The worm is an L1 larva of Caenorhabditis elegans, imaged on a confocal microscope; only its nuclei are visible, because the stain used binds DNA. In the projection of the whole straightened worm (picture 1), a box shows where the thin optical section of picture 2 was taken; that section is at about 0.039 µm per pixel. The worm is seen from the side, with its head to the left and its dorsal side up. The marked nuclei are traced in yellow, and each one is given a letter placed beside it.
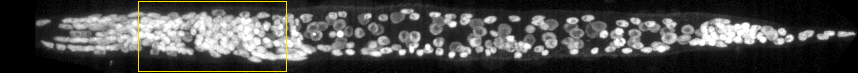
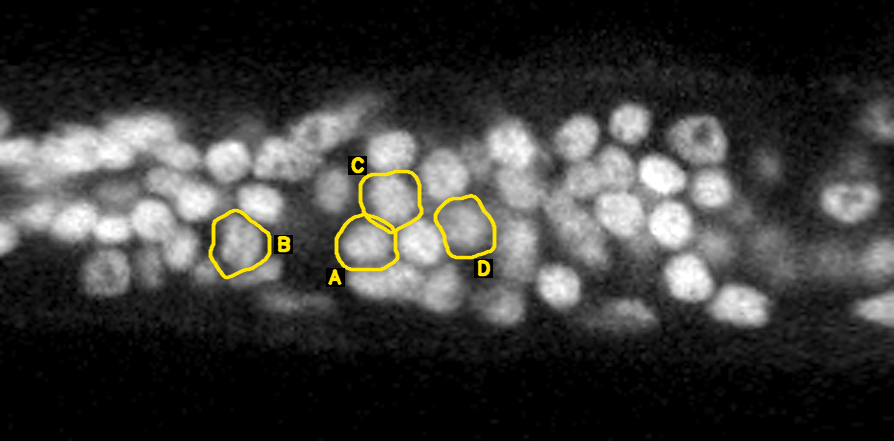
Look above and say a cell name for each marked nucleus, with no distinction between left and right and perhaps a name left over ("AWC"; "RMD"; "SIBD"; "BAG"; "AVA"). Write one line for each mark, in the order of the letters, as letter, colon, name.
A: RMD
B: BAG
C: AVA
D: AWC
